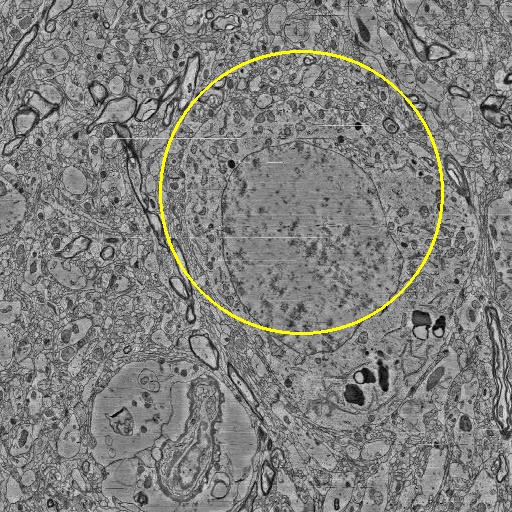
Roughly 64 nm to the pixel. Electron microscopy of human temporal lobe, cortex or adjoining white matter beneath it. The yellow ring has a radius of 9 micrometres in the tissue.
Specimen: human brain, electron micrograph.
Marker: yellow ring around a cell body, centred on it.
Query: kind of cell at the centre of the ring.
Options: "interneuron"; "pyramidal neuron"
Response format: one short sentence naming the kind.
This cell body belongs to a pyramidal neuron.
